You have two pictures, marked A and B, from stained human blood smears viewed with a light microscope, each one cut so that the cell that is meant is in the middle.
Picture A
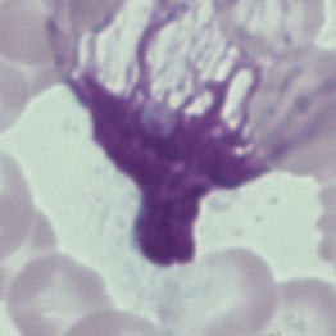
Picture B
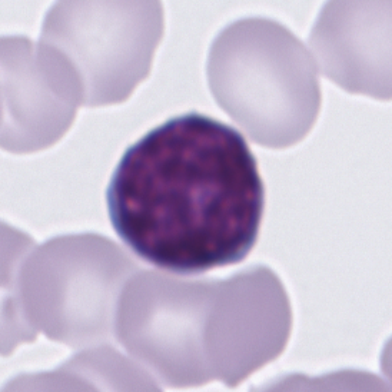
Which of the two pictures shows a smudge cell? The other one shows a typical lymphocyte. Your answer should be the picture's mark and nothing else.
A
